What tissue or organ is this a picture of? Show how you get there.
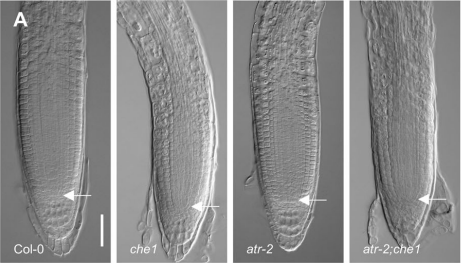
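Tapering root tips capped by layered root cap cells. Files of small, densely packed cells running along each root.
Root meristems.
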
